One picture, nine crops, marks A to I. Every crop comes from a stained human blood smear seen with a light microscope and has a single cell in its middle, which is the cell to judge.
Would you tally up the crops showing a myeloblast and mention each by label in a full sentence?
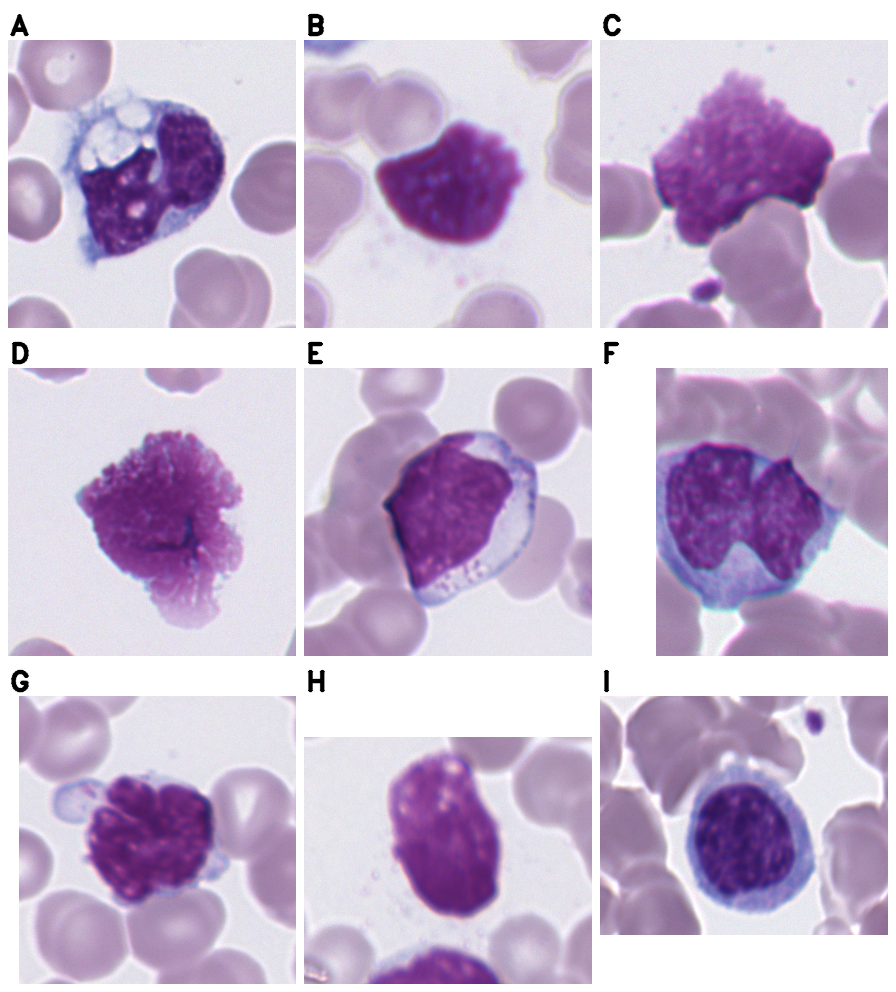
None of the crops, from first to last, shows myeloblasts, so the count is zero.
